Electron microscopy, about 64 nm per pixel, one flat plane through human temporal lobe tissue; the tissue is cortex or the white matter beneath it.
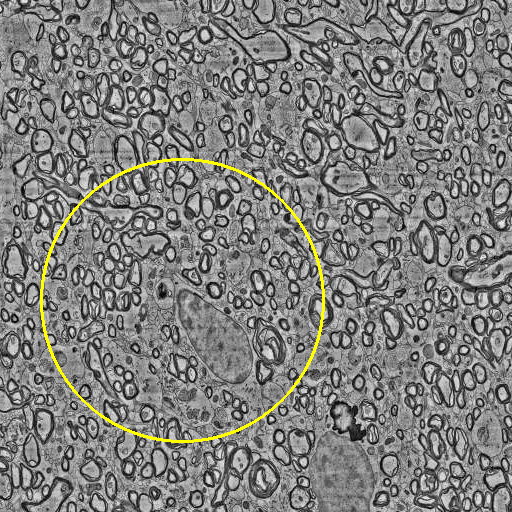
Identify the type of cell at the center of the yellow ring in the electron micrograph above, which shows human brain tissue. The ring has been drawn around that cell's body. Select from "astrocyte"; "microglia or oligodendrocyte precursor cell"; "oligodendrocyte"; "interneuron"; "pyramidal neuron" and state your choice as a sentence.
The yellow ring is centered on the body of a microglial cell or oligodendrocyte precursor cell.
